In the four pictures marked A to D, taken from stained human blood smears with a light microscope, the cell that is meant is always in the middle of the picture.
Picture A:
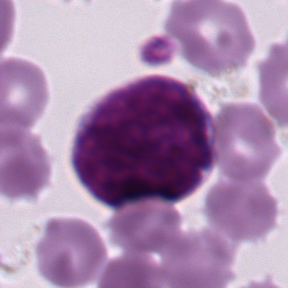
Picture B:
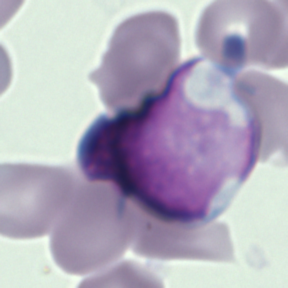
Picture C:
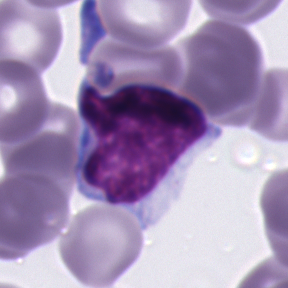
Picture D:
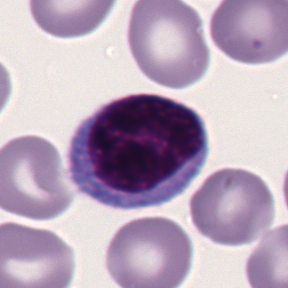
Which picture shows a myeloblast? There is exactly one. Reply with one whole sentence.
Picture A shows the myeloblast.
